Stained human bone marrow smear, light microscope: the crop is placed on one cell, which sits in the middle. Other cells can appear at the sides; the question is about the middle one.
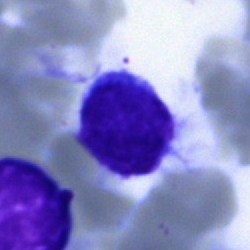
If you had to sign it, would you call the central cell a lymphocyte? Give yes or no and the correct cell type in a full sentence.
Yes, the cell at the very centre of the crop is a lymphocyte.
